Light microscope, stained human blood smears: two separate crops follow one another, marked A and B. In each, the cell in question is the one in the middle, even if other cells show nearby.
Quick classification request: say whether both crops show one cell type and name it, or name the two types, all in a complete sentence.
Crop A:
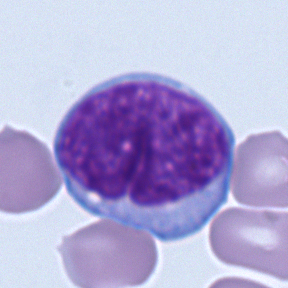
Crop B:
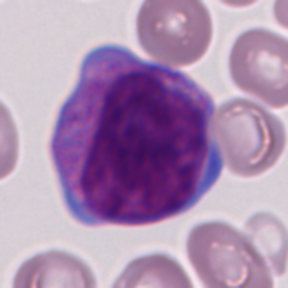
No, crop A shows a myeloblast, whereas an atypical promyelocyte is what crop B shows.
